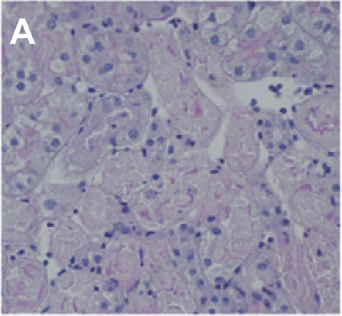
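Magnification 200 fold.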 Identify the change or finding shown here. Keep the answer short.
Acute tubular necrosis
